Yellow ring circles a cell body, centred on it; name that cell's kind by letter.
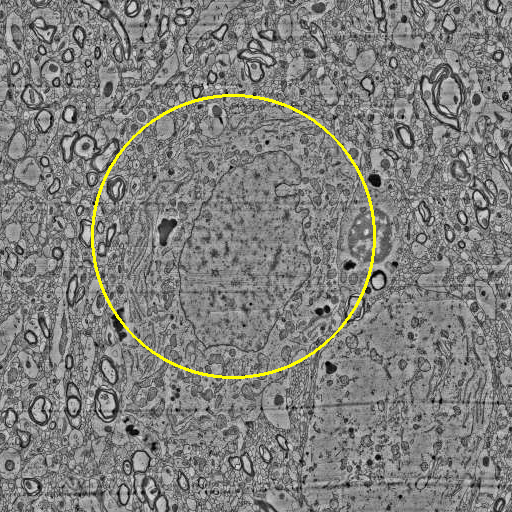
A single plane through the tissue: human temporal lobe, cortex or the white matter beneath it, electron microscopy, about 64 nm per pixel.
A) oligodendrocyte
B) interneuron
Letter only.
B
